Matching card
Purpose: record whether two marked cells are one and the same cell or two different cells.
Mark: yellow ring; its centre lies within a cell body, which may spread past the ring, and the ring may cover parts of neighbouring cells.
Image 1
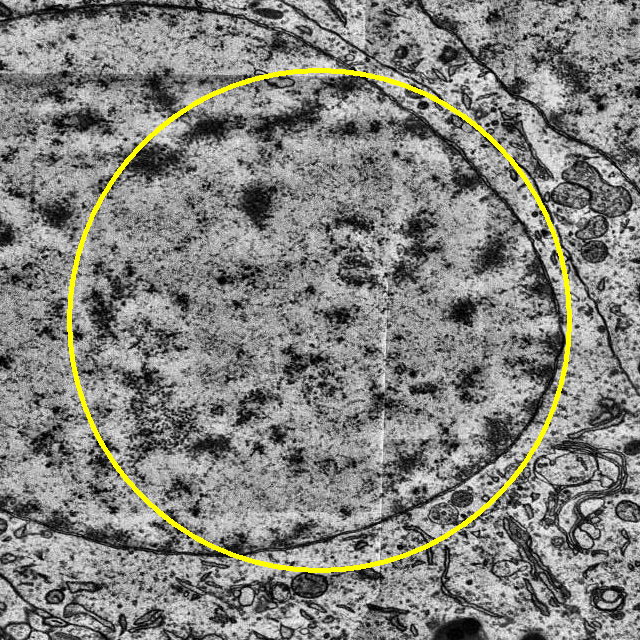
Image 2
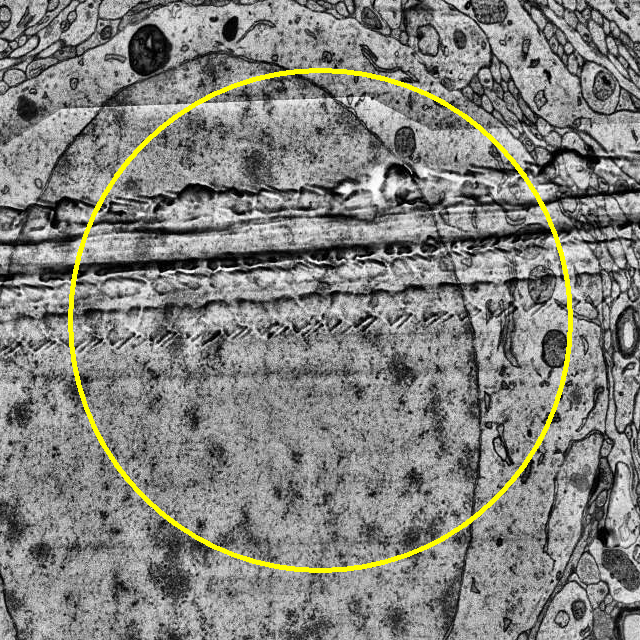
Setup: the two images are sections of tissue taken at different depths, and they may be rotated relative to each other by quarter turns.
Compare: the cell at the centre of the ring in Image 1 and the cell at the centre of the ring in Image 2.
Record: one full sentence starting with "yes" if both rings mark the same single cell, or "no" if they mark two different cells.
No, the two yellow rings each circle a different cell.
